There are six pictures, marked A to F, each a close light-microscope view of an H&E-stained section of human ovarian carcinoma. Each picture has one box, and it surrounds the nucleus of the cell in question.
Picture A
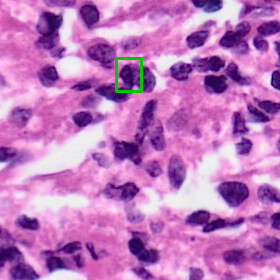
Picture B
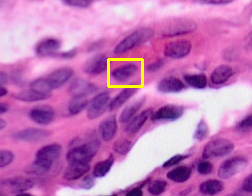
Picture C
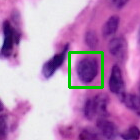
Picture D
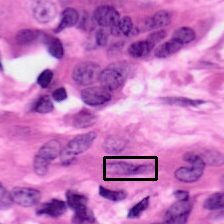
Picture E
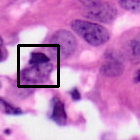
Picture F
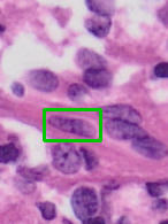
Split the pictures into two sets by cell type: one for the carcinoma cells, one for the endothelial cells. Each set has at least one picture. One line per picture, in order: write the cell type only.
carcinoma cell
endothelial cell
carcinoma cell
endothelial cell
carcinoma cell
endothelial cell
